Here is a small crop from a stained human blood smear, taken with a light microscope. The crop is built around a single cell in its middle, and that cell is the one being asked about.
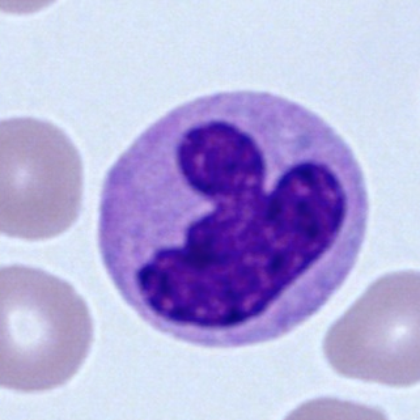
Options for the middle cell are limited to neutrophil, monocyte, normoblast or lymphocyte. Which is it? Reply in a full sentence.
Classified as a monocyte is the cell in the middle of this crop.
